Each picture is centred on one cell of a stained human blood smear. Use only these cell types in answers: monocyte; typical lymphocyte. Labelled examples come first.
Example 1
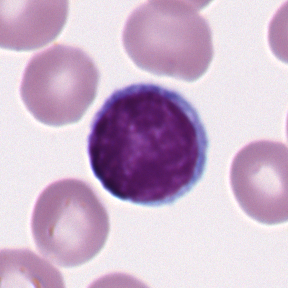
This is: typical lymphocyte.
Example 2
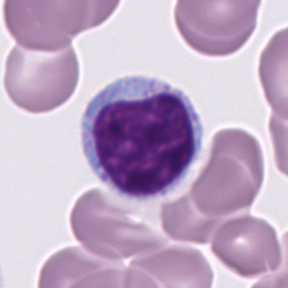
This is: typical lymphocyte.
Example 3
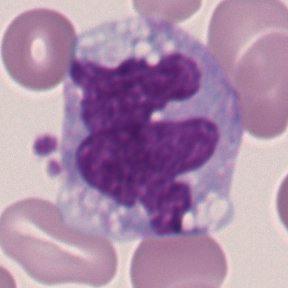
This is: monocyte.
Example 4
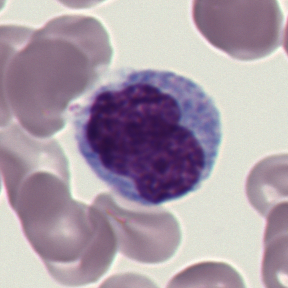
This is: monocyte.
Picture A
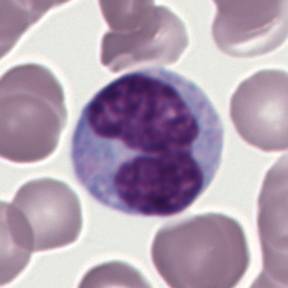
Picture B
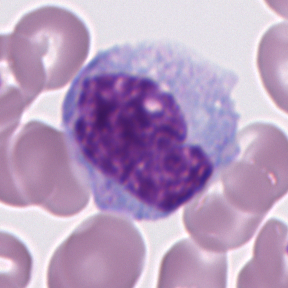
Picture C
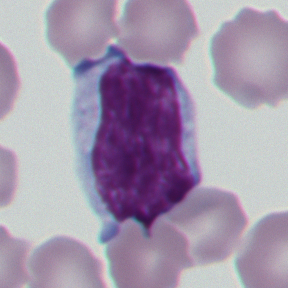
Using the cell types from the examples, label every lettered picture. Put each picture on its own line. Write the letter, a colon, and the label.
A: monocyte.
B: monocyte.
C: typical lymphocyte.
